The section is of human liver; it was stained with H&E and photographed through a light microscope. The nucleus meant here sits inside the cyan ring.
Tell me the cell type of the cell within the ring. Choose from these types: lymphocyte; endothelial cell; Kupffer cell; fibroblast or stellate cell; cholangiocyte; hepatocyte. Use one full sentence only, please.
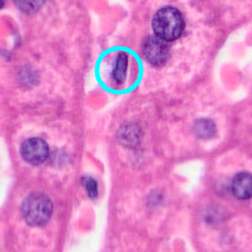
It is a Kupffer cell that the cell within the ring represents.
